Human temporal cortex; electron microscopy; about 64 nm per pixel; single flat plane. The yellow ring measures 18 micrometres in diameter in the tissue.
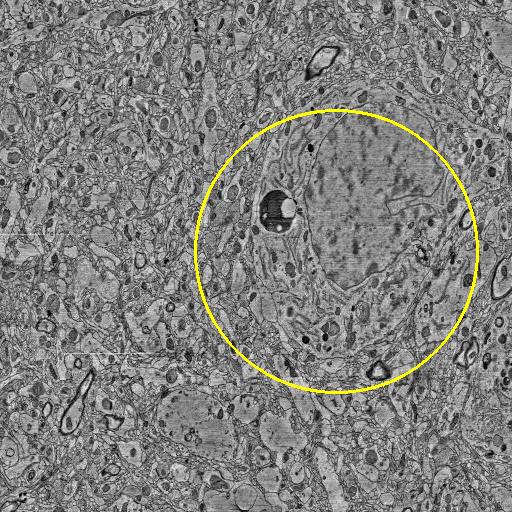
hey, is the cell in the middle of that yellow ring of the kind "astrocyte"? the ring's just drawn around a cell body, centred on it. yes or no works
no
